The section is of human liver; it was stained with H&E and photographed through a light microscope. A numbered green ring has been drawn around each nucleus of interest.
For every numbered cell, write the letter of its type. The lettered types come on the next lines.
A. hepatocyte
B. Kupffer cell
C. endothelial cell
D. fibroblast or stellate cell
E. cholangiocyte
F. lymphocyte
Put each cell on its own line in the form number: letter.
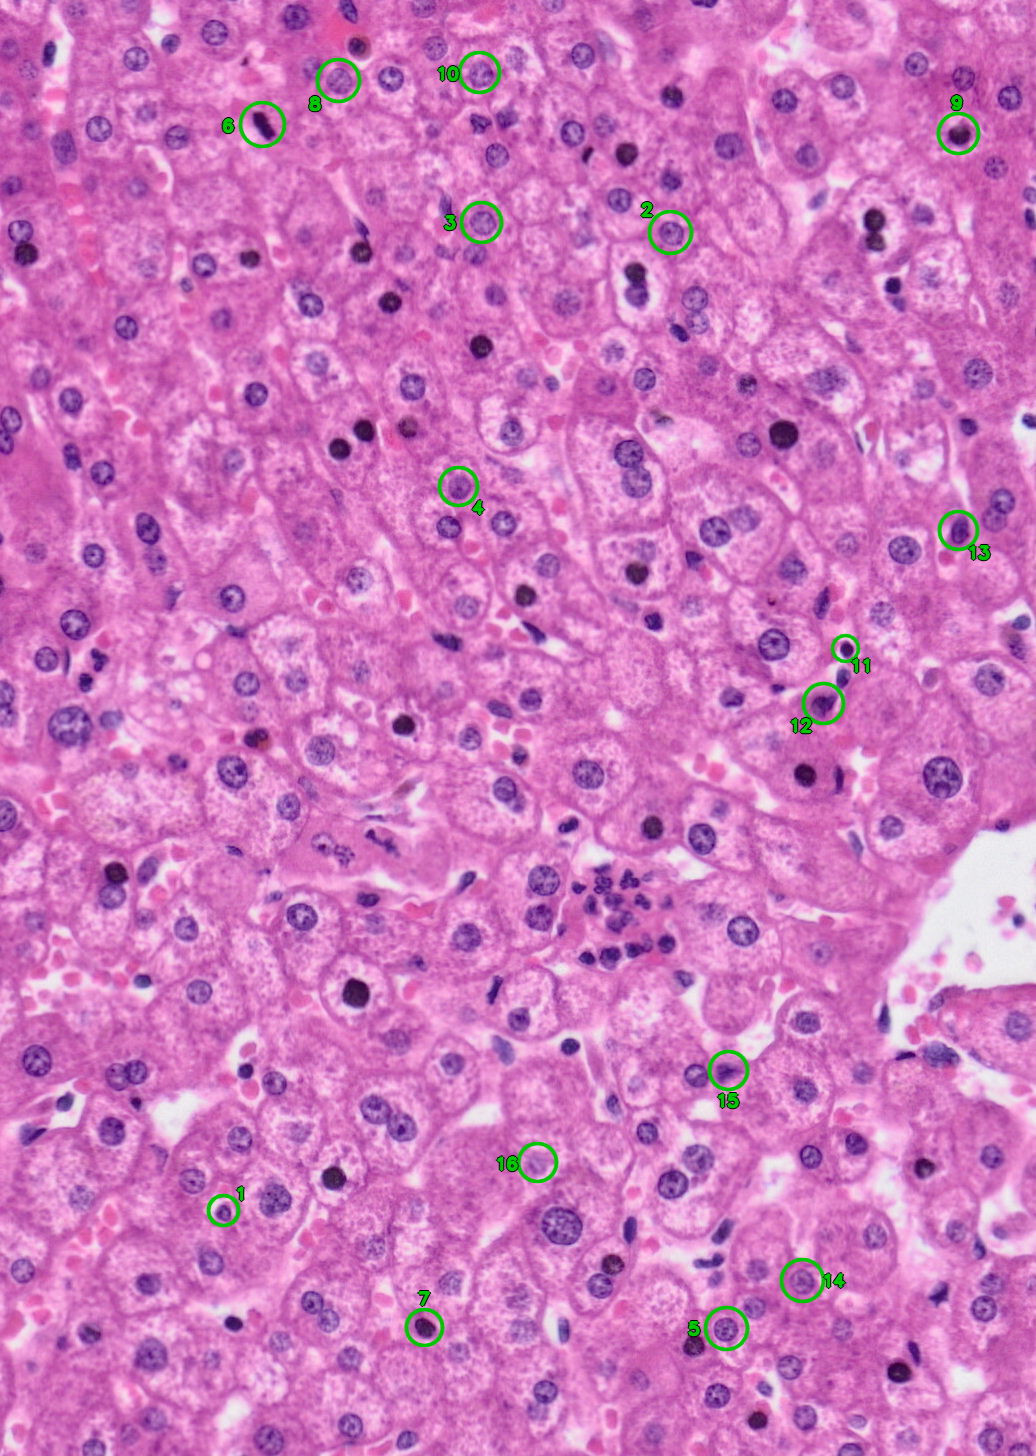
1: B
2: A
3: A
4: A
5: A
6: D
7: B
8: A
9: A
10: A
11: F
12: B
13: B
14: A
15: D
16: A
